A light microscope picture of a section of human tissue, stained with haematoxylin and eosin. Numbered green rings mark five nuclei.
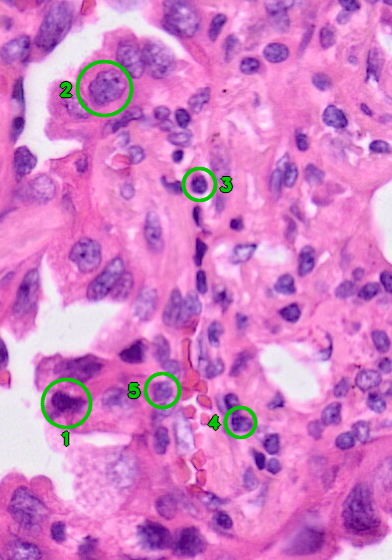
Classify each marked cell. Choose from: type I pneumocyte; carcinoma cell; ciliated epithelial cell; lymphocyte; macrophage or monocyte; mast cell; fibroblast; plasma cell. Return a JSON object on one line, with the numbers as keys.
{"1": "carcinoma cell", "2": "carcinoma cell", "3": "lymphocyte", "4": "lymphocyte", "5": "lymphocyte"}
